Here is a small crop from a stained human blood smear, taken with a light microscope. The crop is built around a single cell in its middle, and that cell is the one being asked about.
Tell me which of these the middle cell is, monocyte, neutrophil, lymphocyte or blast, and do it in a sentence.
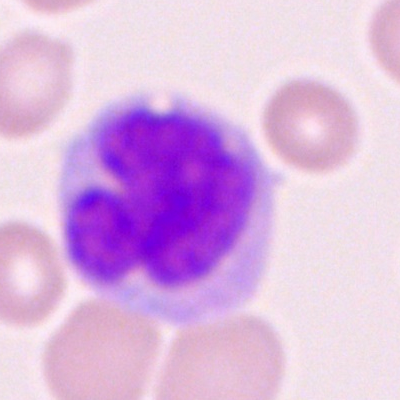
The middle cell in this particular crop is a monocyte.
